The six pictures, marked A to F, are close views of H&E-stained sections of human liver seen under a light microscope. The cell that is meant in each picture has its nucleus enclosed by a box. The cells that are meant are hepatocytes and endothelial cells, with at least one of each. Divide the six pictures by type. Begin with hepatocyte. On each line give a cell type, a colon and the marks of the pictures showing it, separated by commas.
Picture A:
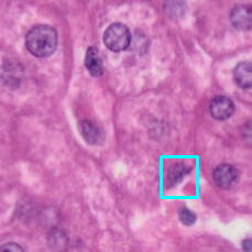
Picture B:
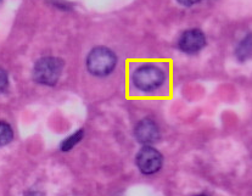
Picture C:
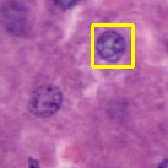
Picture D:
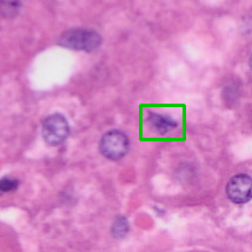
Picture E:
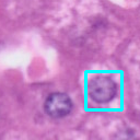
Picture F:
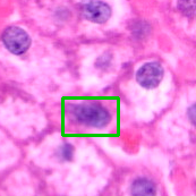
hepatocyte: B, C, E
endothelial cell: A, D, F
